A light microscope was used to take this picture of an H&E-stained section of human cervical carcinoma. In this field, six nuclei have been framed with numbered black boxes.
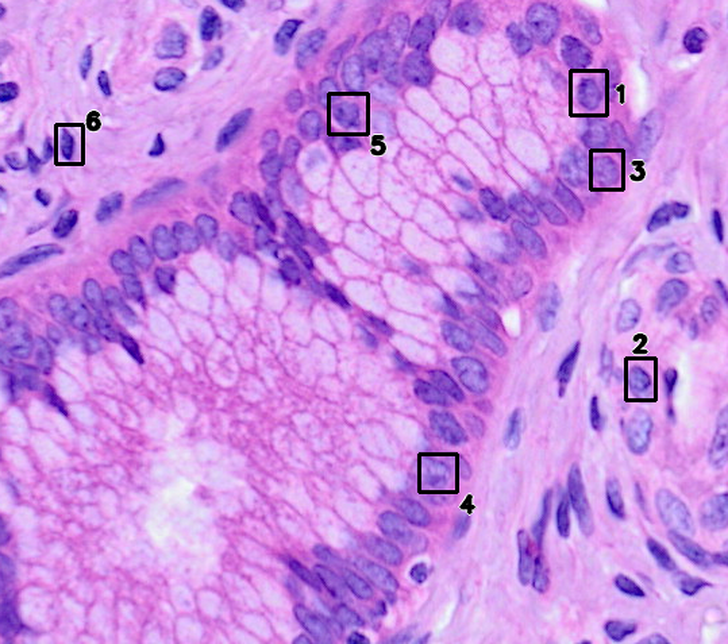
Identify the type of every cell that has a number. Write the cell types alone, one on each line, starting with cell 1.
secretory epithelial cell
smooth muscle cell
secretory epithelial cell
secretory epithelial cell
secretory epithelial cell
fibroblast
